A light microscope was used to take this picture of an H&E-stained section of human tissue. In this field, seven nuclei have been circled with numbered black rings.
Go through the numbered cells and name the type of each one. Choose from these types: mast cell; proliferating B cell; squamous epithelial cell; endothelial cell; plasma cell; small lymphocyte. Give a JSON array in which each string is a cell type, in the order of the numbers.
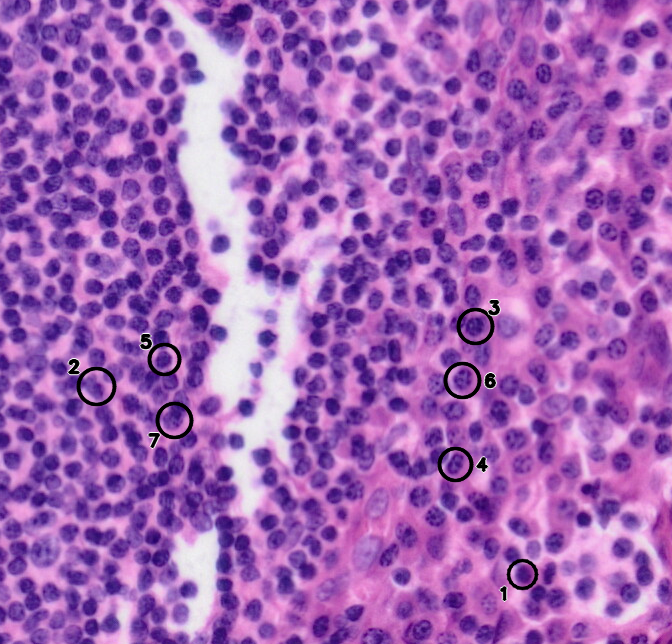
["plasma cell", "small lymphocyte", "plasma cell", "plasma cell", "small lymphocyte", "plasma cell", "small lymphocyte"]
